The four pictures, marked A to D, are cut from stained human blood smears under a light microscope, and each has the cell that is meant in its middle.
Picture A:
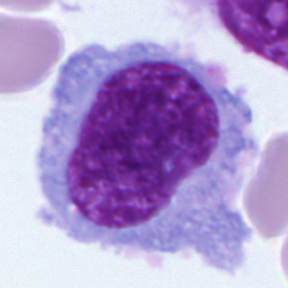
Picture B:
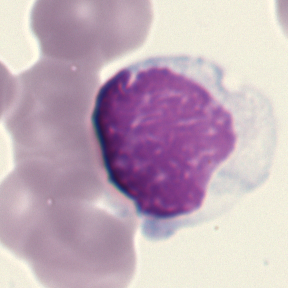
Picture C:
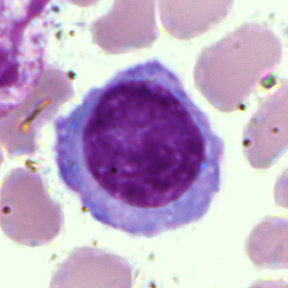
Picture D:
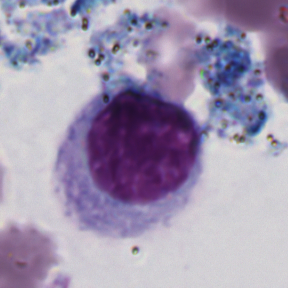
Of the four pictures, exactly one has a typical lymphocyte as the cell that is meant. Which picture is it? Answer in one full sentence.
The typical lymphocyte is the one in picture B.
